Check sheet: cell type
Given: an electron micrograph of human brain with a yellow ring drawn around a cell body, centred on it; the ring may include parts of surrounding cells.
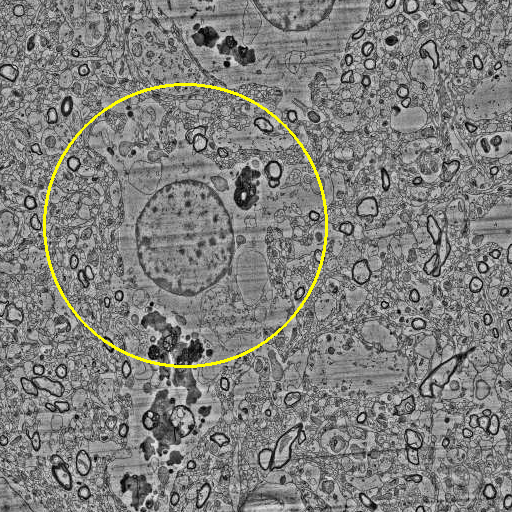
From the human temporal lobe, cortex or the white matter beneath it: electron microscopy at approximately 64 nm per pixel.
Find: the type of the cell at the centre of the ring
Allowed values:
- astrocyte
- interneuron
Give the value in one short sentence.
Here the ringed cell is an astrocyte.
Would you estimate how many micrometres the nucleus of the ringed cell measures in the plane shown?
About 7 micrometres by about 6 micrometres in this plane.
